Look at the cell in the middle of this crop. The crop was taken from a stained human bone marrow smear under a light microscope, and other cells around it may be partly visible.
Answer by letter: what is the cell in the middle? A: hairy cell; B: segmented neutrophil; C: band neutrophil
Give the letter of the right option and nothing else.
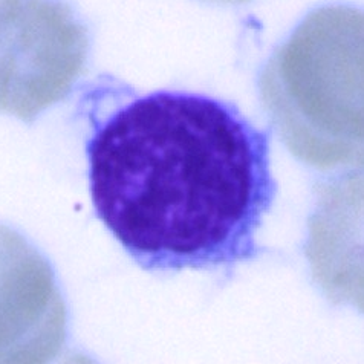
A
